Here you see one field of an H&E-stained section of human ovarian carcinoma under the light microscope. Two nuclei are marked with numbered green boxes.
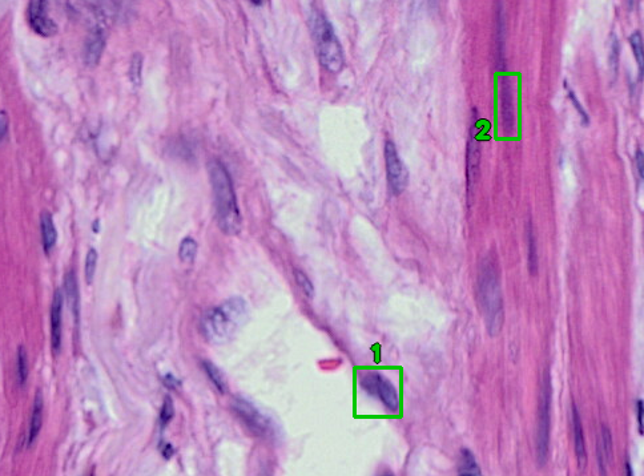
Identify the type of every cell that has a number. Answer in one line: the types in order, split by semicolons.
endothelial cell; smooth muscle cell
